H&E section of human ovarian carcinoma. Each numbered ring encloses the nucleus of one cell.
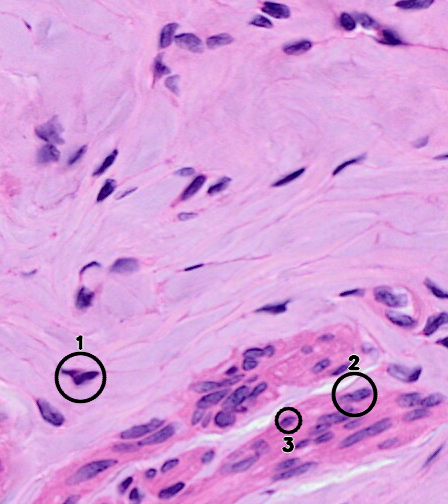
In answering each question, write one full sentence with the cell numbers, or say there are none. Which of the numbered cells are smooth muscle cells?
The cells identified by the numbers 2 and 3 are smooth muscle cells.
